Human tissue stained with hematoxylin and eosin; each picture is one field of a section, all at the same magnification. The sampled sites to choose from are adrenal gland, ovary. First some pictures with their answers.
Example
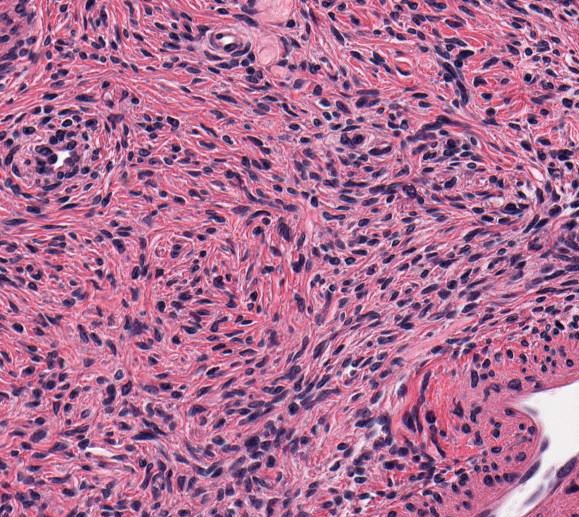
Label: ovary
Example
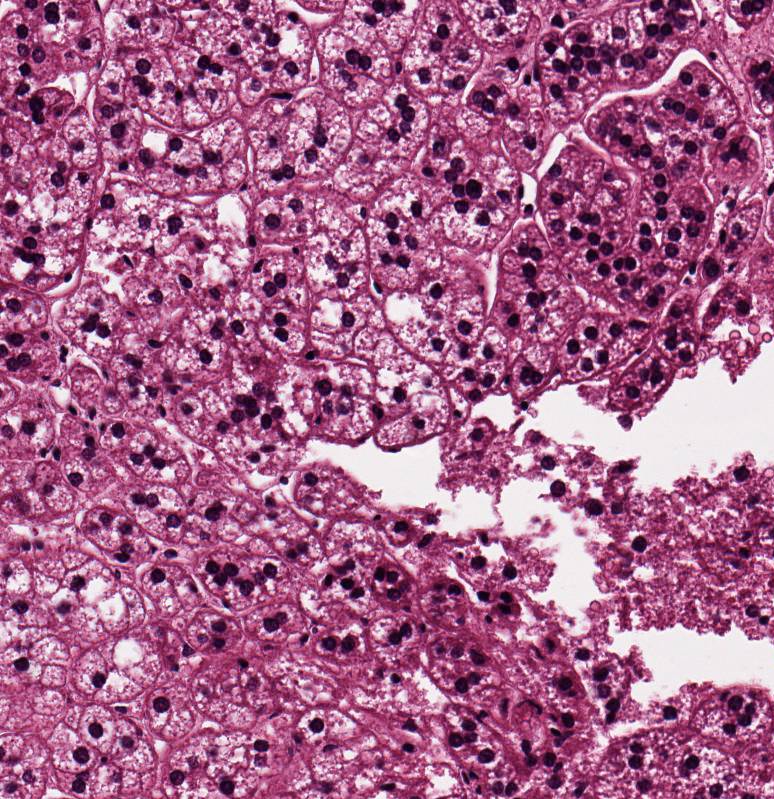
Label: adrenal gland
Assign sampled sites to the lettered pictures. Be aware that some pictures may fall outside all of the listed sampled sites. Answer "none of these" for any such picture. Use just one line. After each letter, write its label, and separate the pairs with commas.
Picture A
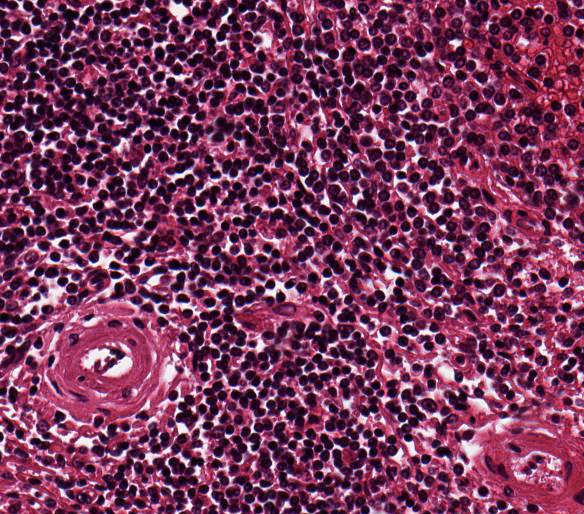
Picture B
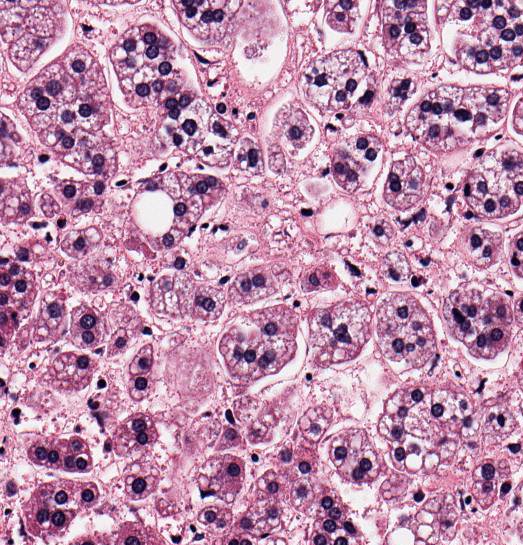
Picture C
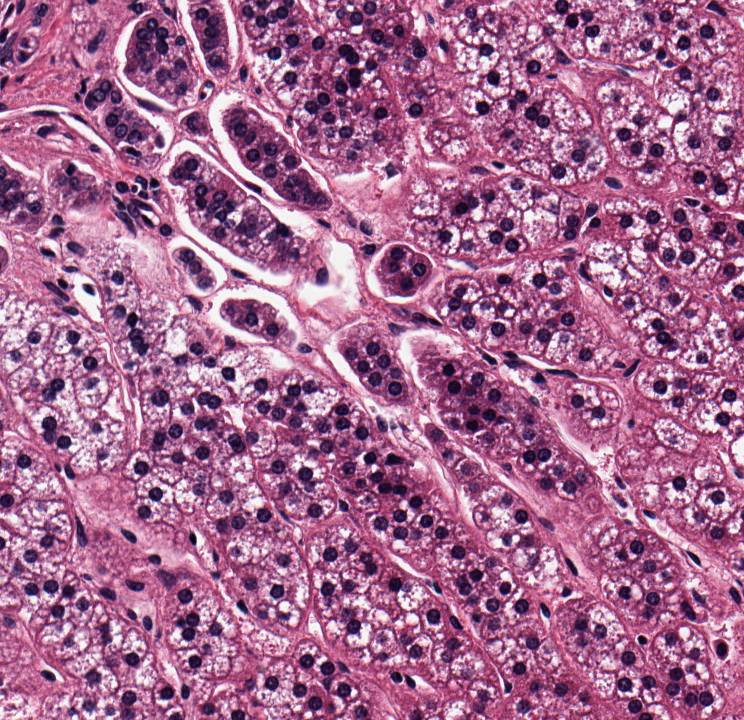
A none of these, B adrenal gland, C adrenal gland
